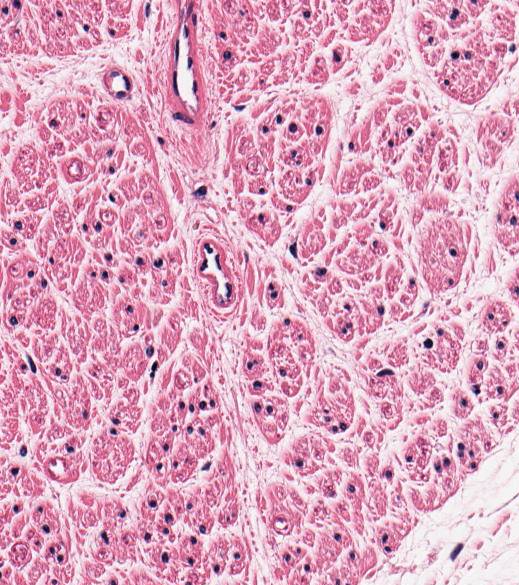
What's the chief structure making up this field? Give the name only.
nerve fascicle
